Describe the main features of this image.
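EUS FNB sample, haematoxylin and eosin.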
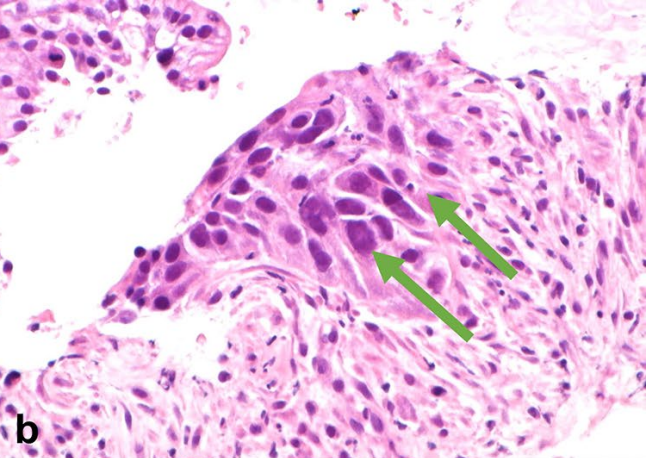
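Fragment of carcinoma with cells of squamous appearance lying against a spindle-cell stroma. The tumour cells are elongated and closely packed, with dense pink cytoplasm and sharply drawn cell borders. The surrounding stroma has slender spindle nuclei in pale pink fibrous matrix.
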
